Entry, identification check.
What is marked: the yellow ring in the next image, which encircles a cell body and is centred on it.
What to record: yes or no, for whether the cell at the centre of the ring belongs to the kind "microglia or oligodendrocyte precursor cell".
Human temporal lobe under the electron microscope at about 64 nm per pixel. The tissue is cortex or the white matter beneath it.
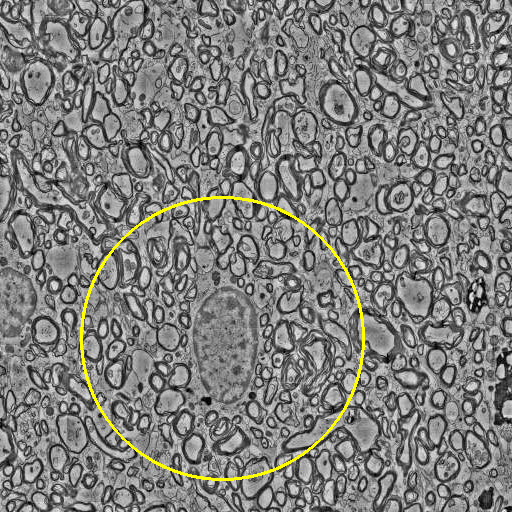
No, it belongs to another kind.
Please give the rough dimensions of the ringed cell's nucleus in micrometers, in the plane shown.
About 7 by 4 micrometers; the nucleus is clearly longer than it is wide in this plane.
